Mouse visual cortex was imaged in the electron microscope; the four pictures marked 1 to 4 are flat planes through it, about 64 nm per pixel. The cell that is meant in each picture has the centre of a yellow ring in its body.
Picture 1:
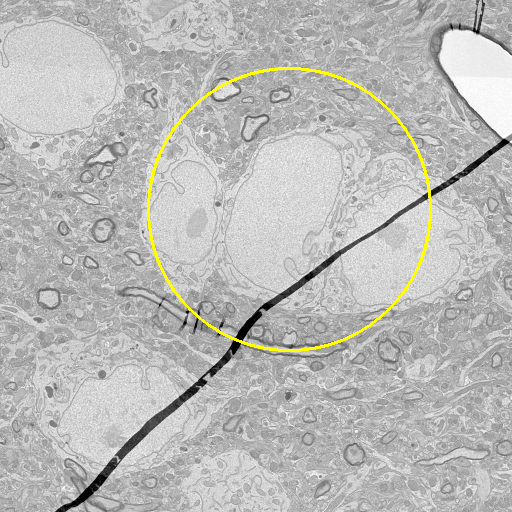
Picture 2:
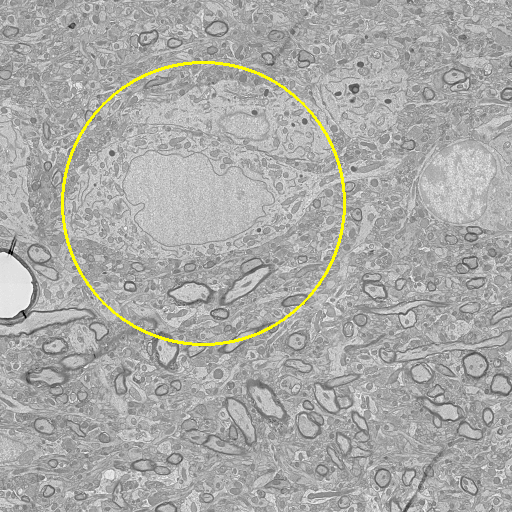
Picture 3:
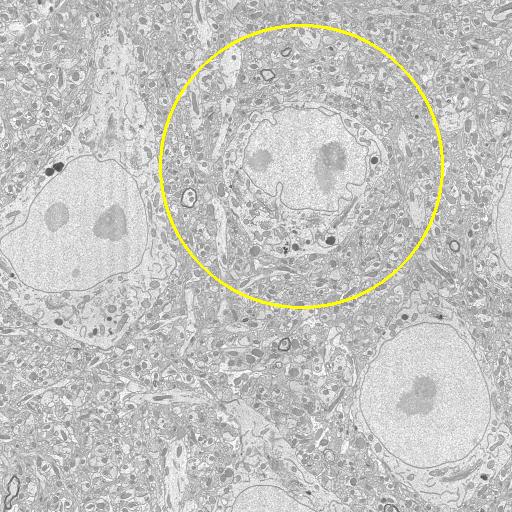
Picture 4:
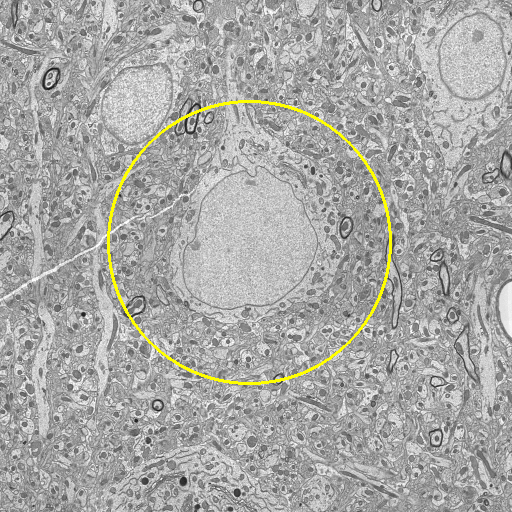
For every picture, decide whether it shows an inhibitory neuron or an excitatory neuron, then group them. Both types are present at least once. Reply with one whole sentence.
Pictures 2 and 3 show inhibitory neurons; pictures 1 and 4 show excitatory neurons.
